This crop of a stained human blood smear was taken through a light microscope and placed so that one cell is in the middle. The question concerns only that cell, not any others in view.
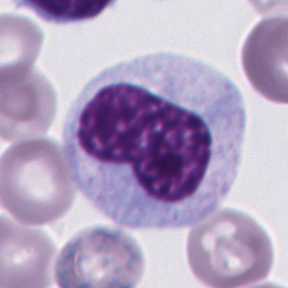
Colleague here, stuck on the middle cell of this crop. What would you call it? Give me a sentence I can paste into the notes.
Framed in the middle of the crop is a metamyelocyte.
